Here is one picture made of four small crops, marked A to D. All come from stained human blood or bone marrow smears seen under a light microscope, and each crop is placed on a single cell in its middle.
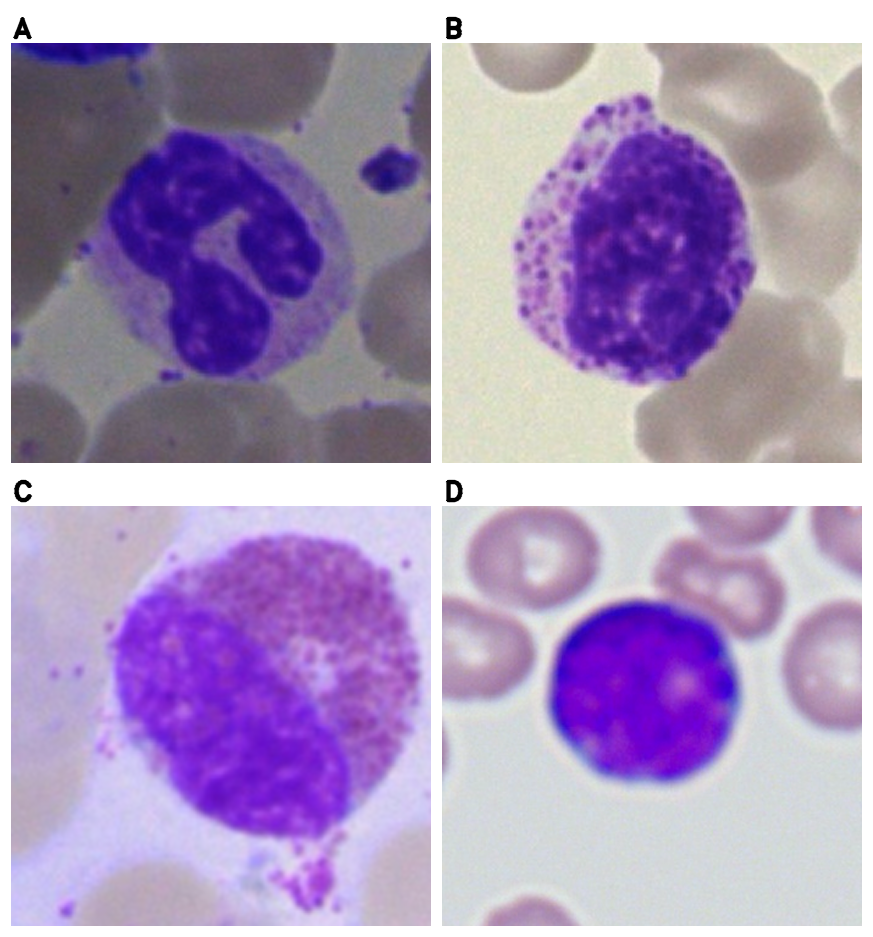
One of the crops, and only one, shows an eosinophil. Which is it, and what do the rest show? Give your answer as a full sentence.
Crop C shows an eosinophil, and meanwhile crop A is a segmented neutrophil, crop B is a basophil and crop D is a lymphocyte.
